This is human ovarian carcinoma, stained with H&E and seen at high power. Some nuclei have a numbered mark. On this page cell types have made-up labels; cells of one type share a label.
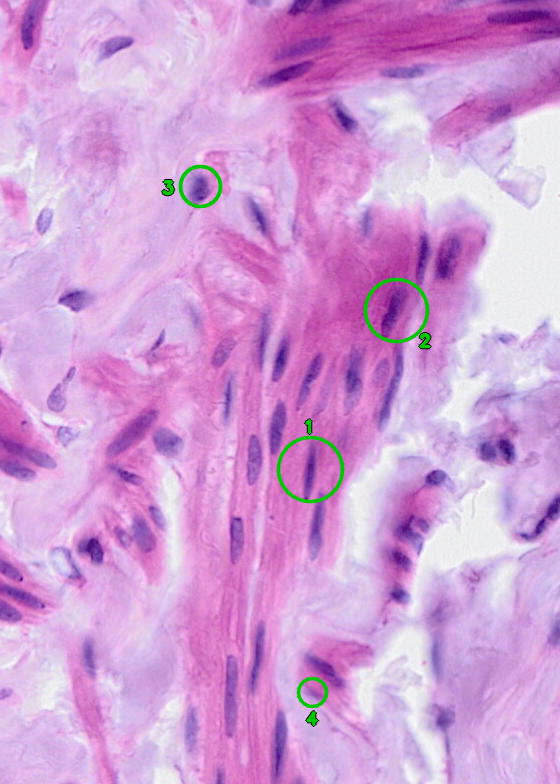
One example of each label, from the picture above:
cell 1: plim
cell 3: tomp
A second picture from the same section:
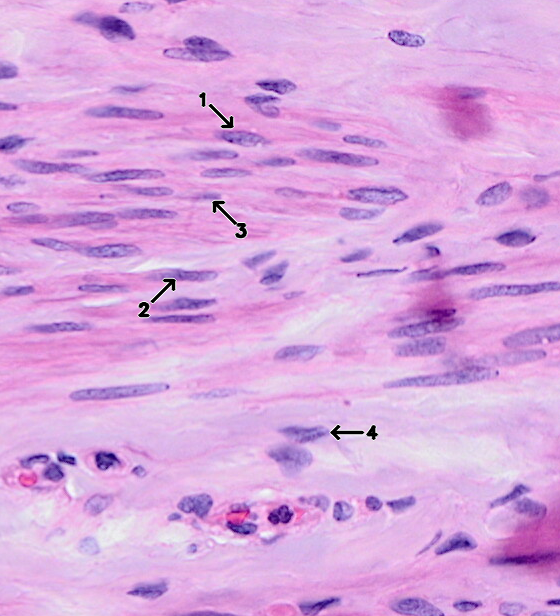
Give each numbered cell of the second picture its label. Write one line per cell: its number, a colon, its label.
1: plim
2: plim
3: plim
4: tomp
